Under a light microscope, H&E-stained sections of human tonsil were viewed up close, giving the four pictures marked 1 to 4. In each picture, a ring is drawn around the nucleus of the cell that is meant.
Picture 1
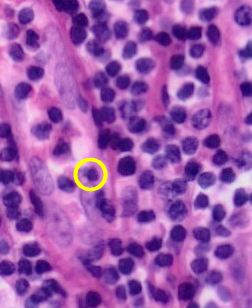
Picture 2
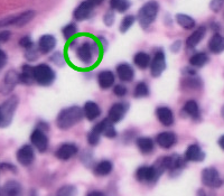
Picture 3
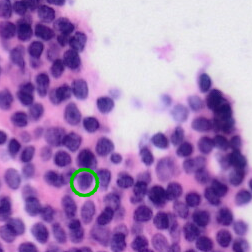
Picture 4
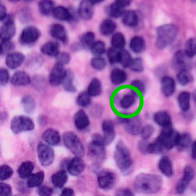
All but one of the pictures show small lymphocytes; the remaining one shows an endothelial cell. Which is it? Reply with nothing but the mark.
1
